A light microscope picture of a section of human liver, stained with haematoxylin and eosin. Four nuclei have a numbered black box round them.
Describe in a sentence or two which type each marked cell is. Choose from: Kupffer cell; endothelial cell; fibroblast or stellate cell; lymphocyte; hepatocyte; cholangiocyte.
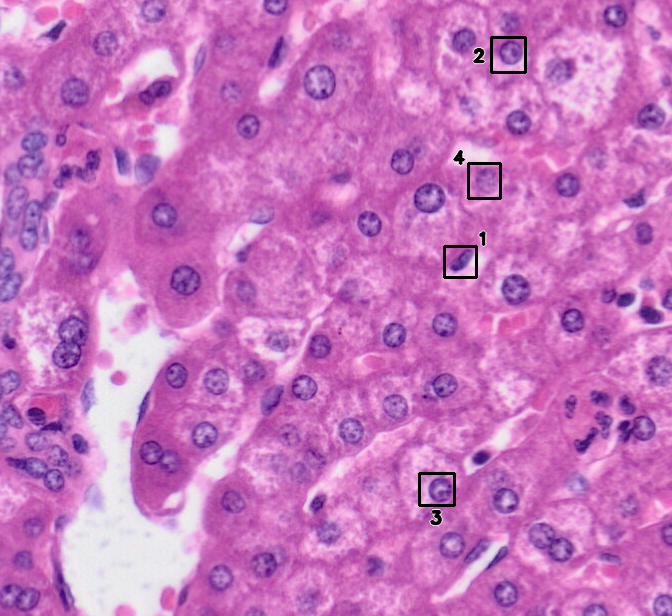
Cell 1 is an endothelial cell, cell 2 is a hepatocyte, cell 3 is a hepatocyte and cell 4 is a hepatocyte.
